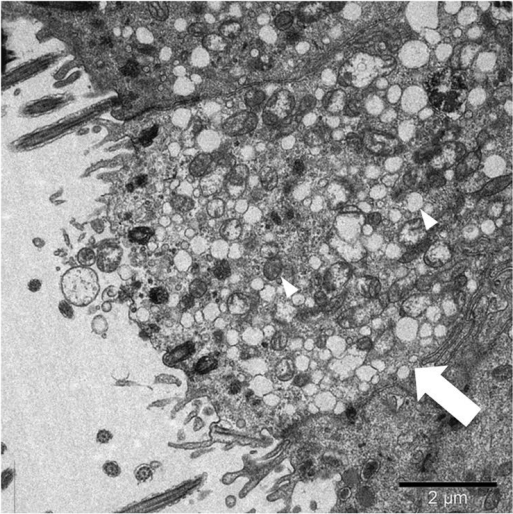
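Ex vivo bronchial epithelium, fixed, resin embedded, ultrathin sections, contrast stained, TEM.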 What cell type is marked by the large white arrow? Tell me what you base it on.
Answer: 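The marked cell's apical cytoplasm is packed with many round pale vesicles. That points to this answer: goblet cells.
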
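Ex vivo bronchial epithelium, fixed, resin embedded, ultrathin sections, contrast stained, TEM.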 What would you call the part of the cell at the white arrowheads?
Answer: Secretory vesicles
